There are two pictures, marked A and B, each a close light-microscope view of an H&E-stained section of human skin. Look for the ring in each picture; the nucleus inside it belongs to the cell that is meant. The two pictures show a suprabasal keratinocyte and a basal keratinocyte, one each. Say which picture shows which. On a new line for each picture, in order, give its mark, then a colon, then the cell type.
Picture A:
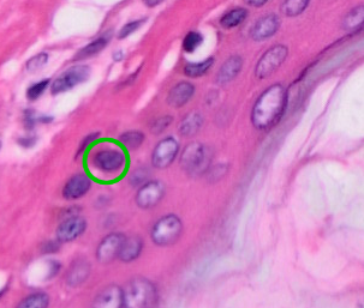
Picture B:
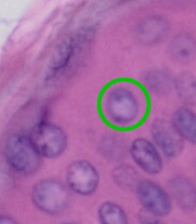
A: basal keratinocyte
B: suprabasal keratinocyte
